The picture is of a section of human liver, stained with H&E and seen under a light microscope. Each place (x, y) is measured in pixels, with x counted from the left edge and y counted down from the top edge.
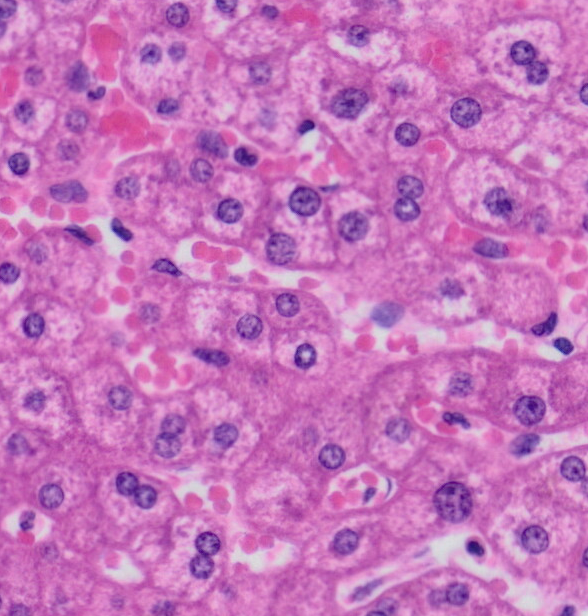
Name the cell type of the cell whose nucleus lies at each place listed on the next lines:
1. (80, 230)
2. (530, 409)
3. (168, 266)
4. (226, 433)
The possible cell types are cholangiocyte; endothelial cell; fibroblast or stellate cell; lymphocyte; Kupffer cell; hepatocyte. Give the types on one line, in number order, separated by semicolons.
endothelial cell; hepatocyte; fibroblast or stellate cell; hepatocyte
